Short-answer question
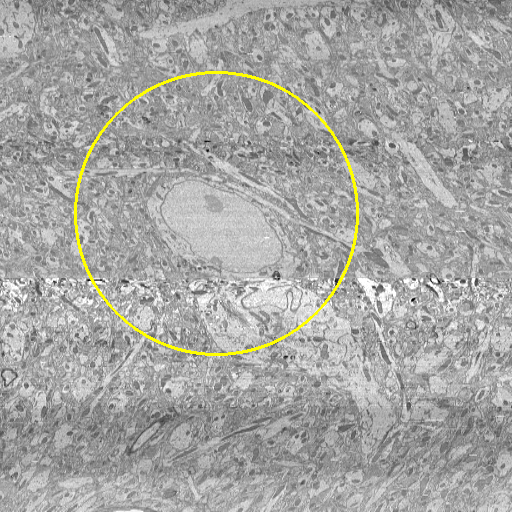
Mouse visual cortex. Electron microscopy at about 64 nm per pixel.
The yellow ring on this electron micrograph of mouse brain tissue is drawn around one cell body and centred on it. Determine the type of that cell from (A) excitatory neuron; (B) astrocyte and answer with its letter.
A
